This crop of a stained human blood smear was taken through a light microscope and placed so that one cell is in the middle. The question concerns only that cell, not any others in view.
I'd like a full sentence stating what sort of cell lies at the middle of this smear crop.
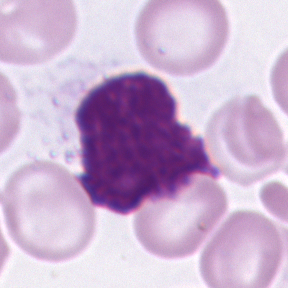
The cell at the middle of the crop is recognized as a smudge cell.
